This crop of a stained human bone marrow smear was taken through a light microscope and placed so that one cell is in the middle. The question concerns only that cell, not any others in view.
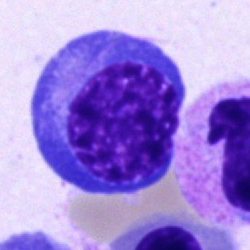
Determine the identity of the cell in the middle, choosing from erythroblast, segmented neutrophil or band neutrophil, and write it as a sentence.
This crop is built around an erythroblast at its centre.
